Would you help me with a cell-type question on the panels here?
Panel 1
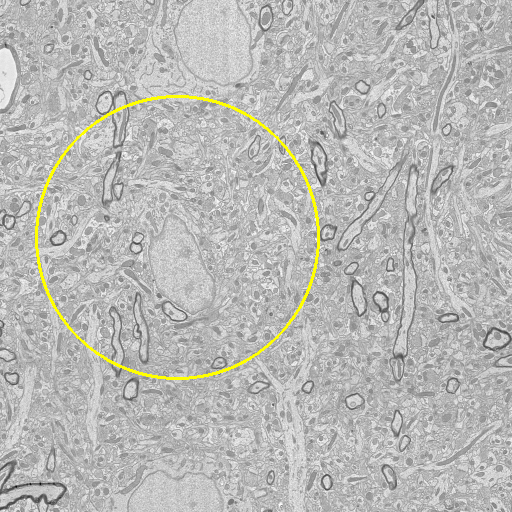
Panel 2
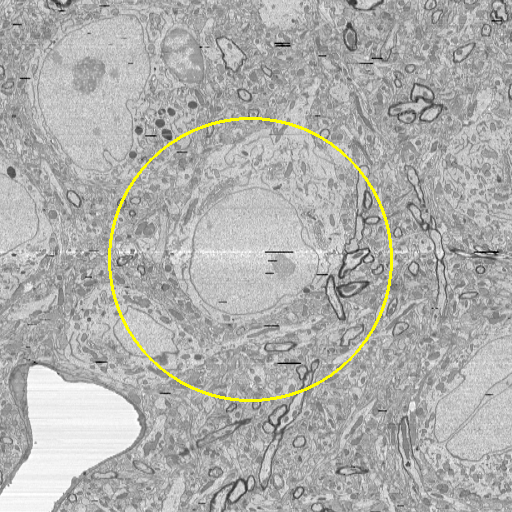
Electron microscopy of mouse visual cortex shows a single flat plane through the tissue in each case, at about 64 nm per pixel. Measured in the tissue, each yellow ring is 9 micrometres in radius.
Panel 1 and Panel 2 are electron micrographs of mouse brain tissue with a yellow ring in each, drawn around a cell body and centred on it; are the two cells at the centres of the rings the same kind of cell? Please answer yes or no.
no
